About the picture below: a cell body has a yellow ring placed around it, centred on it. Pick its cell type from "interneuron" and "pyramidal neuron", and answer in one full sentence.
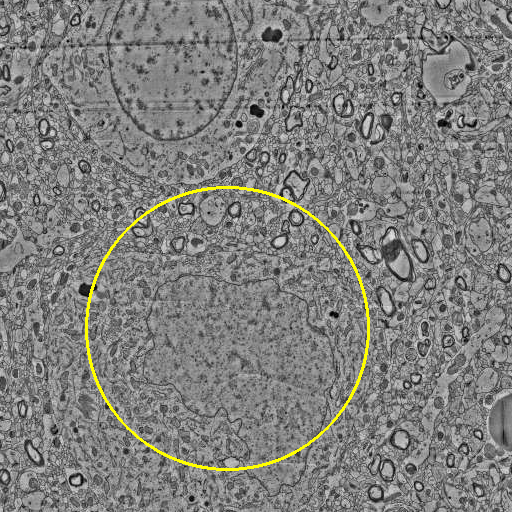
In the picture, a pyramidal neuron is the cell sitting at the centre of the yellow ring.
